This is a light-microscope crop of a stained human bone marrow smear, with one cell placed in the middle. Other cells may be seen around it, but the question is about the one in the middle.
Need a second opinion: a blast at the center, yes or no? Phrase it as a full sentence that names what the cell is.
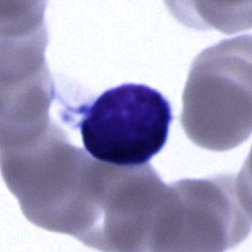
No, it is not a blast that sits at the centre but a lymphocyte.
